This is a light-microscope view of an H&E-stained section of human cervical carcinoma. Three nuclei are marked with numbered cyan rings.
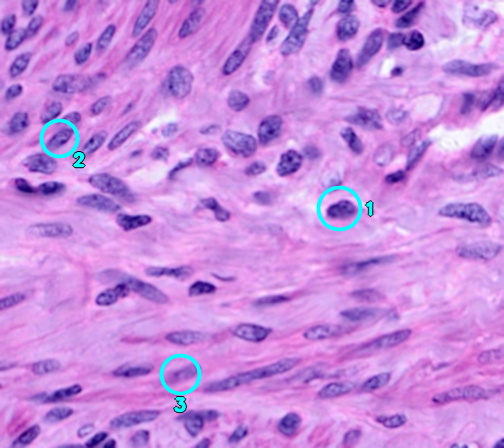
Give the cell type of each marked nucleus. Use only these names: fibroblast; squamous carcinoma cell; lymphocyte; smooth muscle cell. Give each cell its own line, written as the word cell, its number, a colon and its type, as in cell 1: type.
cell 1: lymphocyte
cell 2: smooth muscle cell
cell 3: smooth muscle cell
